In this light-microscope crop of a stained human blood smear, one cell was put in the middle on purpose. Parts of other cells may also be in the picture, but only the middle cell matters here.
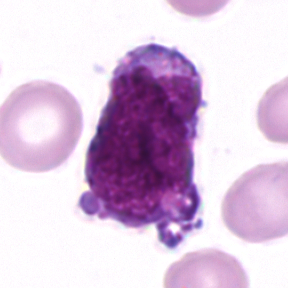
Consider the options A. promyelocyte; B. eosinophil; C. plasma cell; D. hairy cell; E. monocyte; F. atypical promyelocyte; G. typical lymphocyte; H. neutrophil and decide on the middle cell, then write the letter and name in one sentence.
Option F is correct here, and the cell in the middle is an atypical promyelocyte.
